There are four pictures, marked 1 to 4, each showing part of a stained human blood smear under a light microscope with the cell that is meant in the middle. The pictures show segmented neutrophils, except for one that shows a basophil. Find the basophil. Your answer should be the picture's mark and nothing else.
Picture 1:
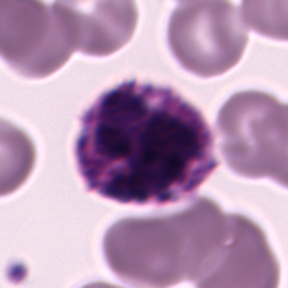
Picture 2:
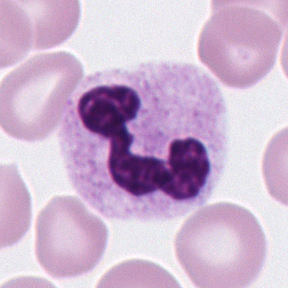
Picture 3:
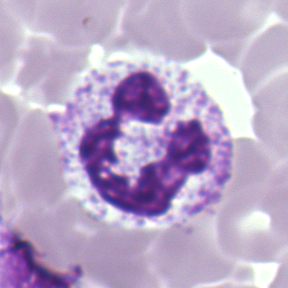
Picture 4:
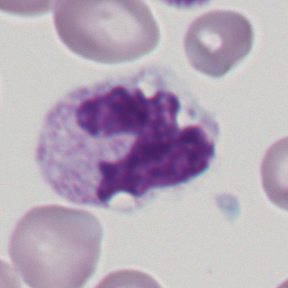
1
